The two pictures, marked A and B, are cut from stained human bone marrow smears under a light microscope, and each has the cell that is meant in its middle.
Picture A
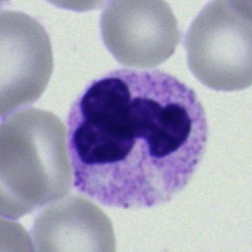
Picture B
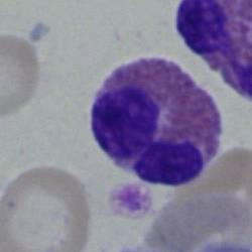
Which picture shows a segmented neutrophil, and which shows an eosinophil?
A: segmented neutrophil
B: eosinophil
